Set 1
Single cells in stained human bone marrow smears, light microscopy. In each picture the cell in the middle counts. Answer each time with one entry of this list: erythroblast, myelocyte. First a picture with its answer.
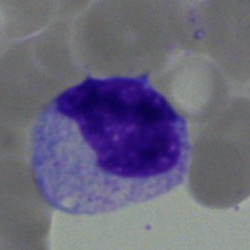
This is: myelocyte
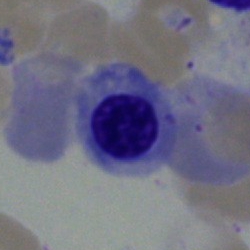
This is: erythroblast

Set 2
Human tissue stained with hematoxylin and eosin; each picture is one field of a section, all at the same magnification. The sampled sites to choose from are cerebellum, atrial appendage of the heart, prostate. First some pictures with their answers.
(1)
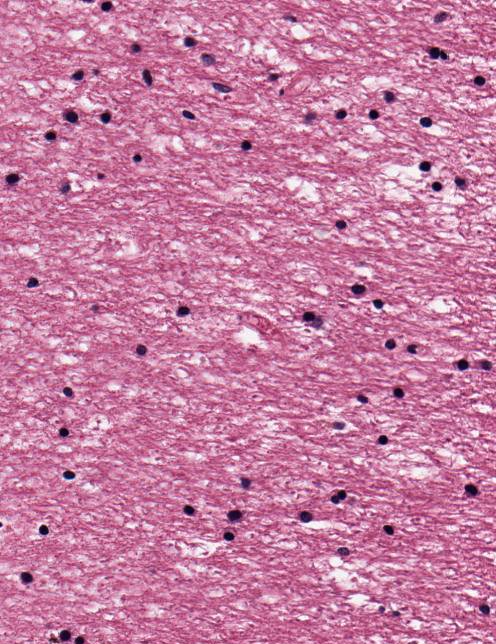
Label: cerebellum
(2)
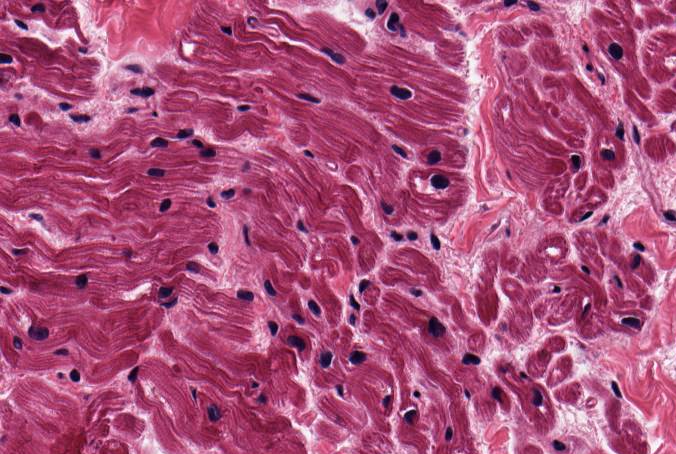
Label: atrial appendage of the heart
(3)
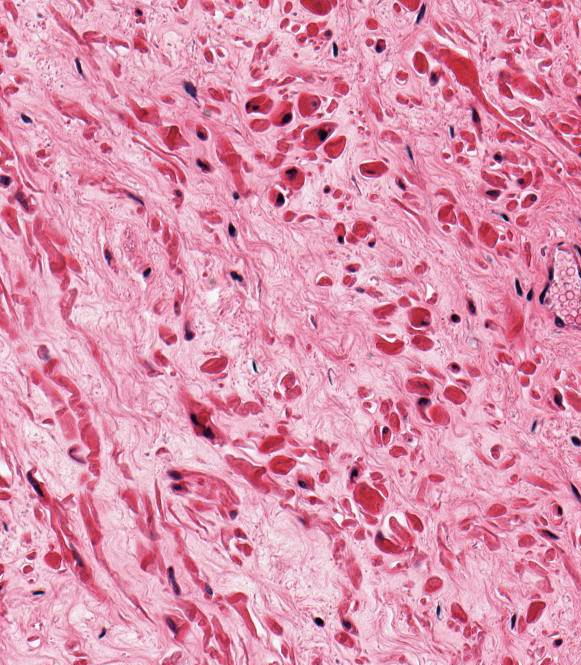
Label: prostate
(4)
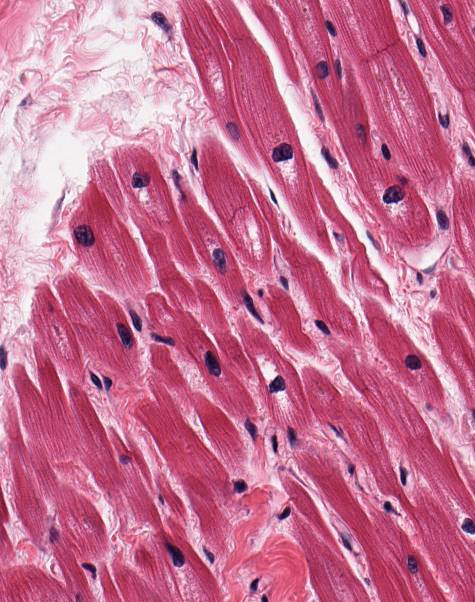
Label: atrial appendage of the heart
